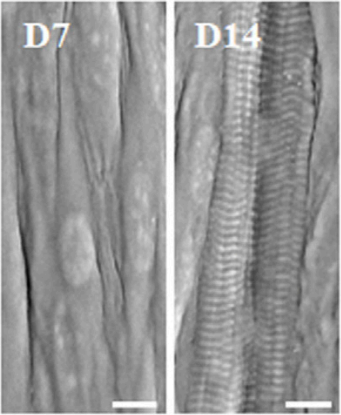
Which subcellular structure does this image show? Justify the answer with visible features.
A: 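Sarcomere. In the right image the elongated cells show regular, repeating transverse bands along their length. In the left image the cells are smooth, with no banding.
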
